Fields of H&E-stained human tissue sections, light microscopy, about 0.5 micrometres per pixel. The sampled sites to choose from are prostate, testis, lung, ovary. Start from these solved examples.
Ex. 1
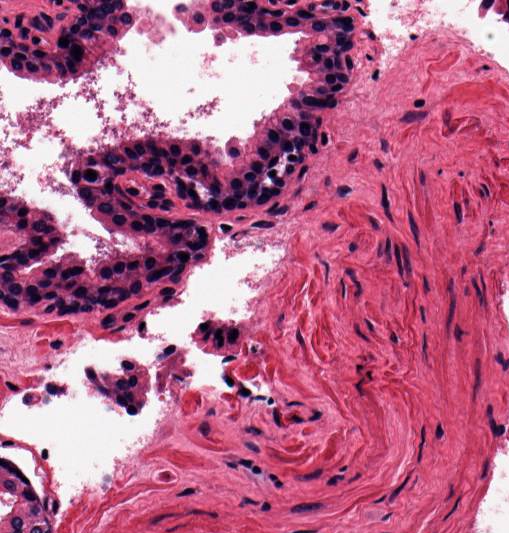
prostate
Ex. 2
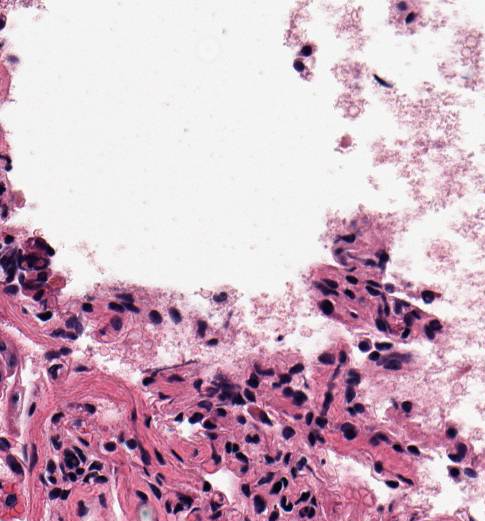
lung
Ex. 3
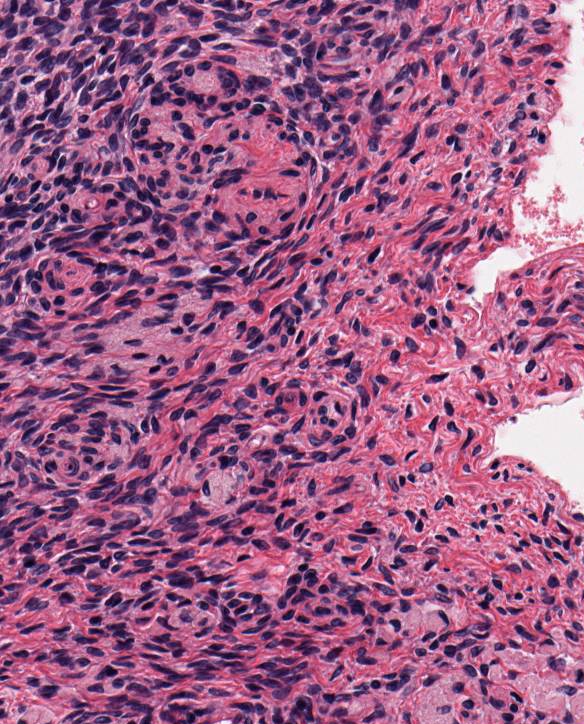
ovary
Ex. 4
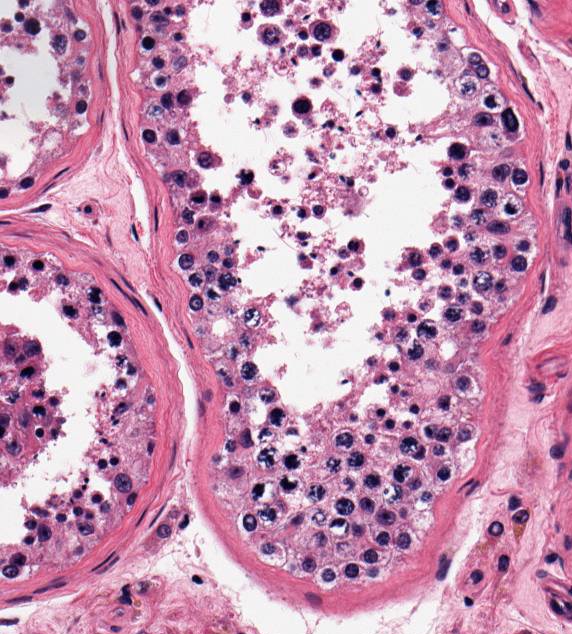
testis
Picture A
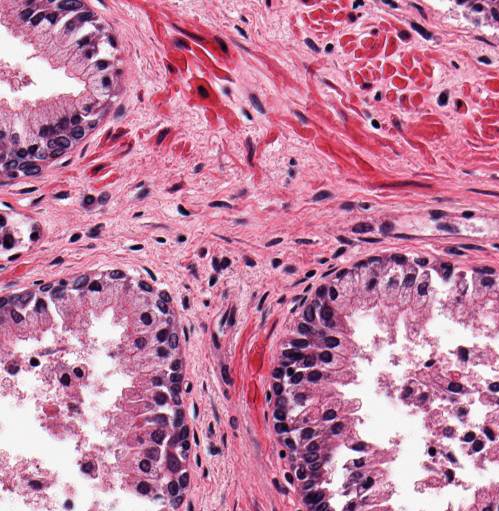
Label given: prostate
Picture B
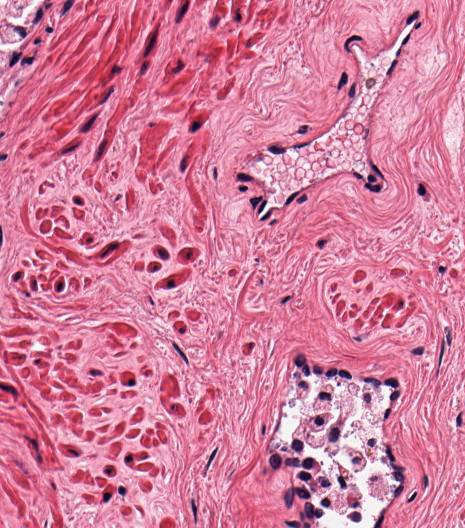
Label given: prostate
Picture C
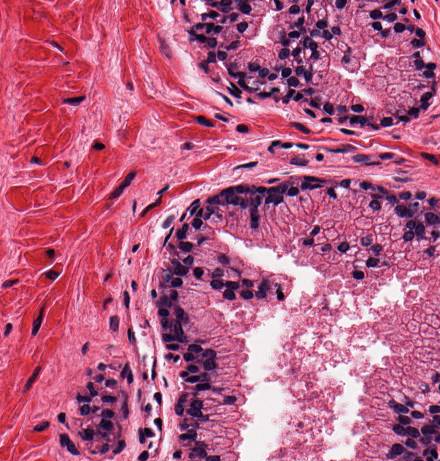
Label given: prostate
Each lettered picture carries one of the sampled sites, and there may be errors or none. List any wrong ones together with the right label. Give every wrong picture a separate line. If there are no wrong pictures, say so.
All correct.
